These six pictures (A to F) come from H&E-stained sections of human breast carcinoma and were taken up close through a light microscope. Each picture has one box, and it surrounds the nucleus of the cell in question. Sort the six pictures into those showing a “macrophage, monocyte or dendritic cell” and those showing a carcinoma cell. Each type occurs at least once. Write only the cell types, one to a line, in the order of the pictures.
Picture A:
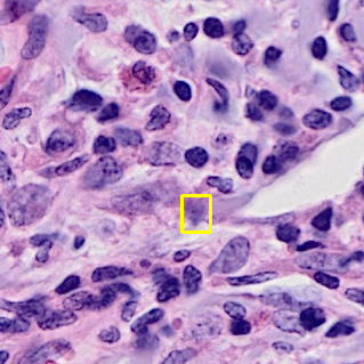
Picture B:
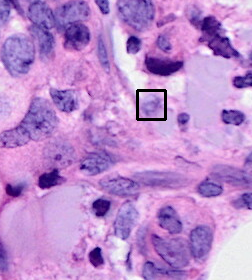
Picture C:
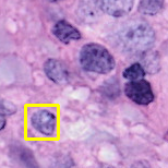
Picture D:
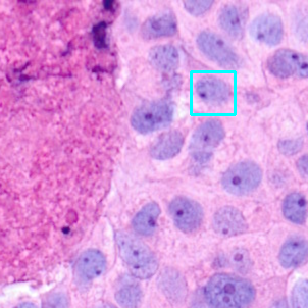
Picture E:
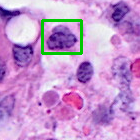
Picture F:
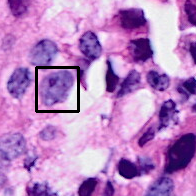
macrophage, monocyte or dendritic cell
macrophage, monocyte or dendritic cell
macrophage, monocyte or dendritic cell
carcinoma cell
macrophage, monocyte or dendritic cell
carcinoma cell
